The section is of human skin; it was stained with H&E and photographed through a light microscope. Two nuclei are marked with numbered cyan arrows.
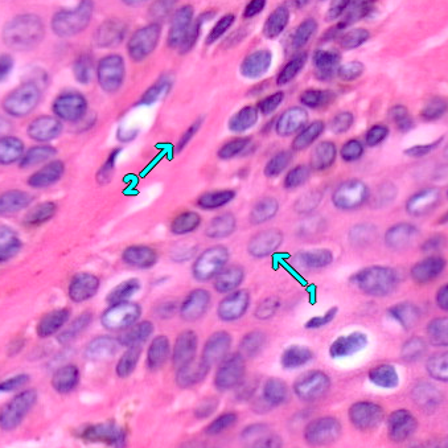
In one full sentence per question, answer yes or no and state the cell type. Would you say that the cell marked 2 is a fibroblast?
Yes, the nucleus numbered 2 belongs to a fibroblast.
